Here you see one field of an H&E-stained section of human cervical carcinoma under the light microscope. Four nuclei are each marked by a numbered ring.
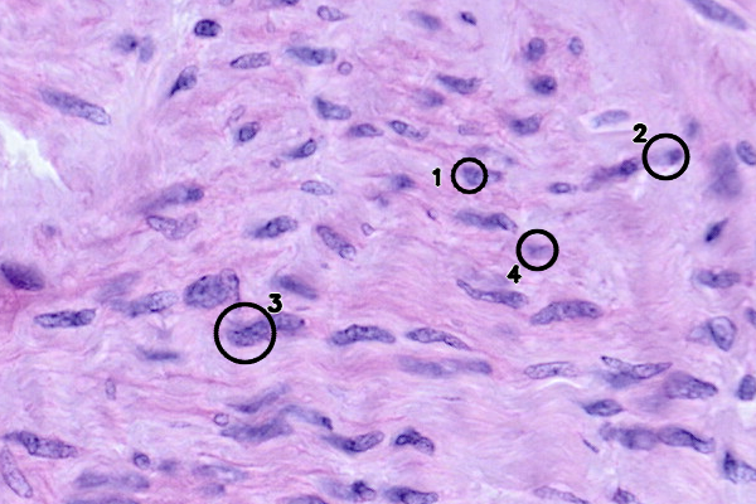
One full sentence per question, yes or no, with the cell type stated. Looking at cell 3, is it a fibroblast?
No, the cell bearing the number 3 is a smooth muscle cell, not a fibroblast.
